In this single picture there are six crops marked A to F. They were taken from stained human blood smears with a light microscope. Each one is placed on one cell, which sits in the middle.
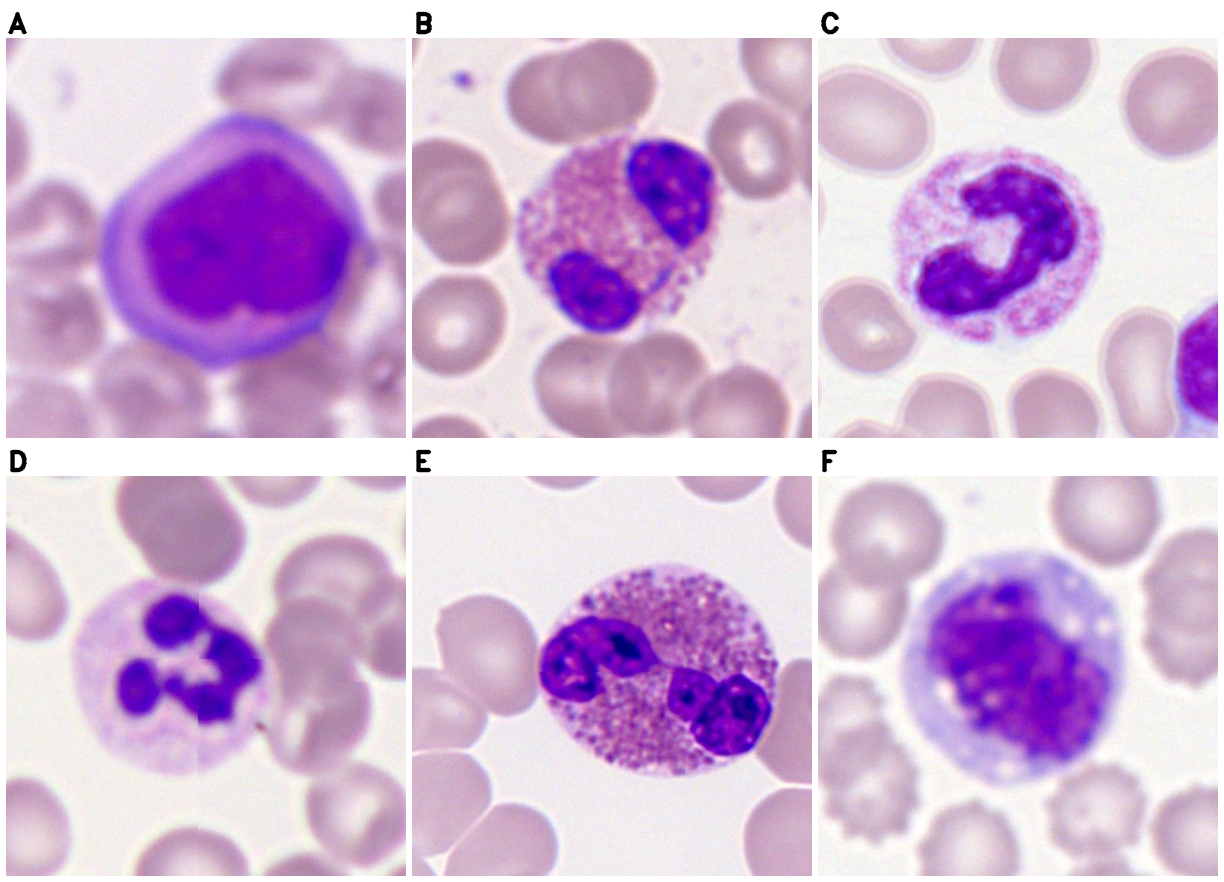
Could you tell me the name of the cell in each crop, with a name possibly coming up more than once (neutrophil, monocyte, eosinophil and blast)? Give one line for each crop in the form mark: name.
A: blast
B: eosinophil
C: neutrophil
D: neutrophil
E: eosinophil
F: monocyte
